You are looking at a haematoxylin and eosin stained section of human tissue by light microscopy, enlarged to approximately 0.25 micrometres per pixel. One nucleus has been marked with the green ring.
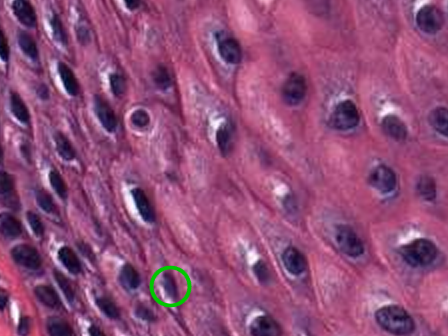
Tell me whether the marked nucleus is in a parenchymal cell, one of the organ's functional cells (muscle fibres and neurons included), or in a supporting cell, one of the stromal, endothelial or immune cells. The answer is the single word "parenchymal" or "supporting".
parenchymal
